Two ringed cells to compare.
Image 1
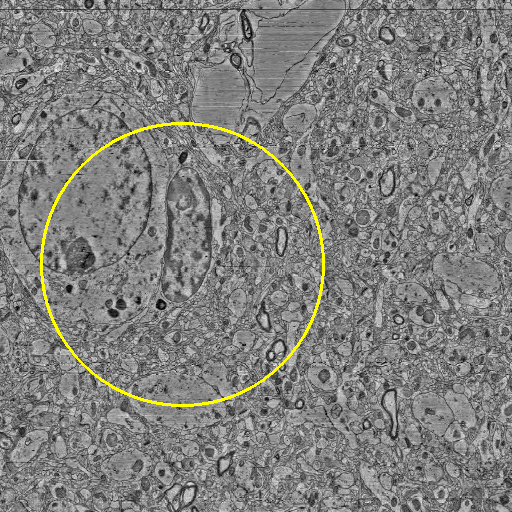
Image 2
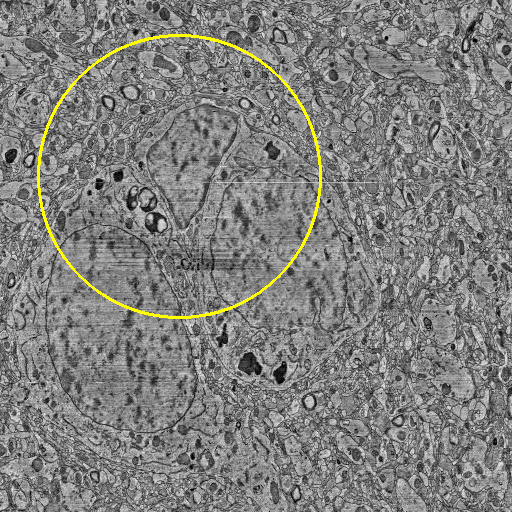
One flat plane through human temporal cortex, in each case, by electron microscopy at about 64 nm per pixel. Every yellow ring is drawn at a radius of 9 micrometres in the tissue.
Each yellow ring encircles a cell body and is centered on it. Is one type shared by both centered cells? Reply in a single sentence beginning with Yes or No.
Yes, a single type is shared by the two cells at the centers of the rings.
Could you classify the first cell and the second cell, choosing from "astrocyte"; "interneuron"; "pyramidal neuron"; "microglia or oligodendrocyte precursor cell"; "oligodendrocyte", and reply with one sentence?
The first and the second cell are each a microglial cell or oligodendrocyte precursor cell.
